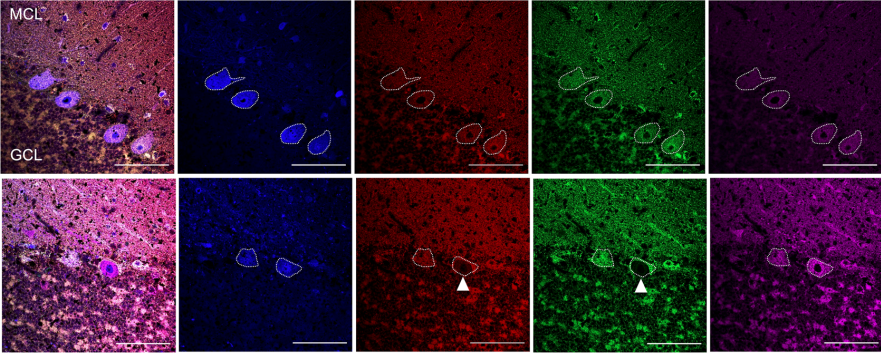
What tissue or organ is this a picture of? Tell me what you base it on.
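Cerebellar cortex. An upper layer with sparse small cells sits above a lower layer of densely packed small cells. A single row of large cell bodies lies between the two layers.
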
